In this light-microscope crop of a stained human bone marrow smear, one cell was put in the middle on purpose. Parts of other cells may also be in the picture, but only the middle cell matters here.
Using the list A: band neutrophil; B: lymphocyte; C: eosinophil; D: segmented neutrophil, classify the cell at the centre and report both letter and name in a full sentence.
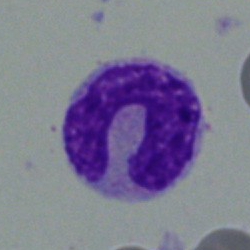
The middle cell of the crop is a band neutrophil; accordingly, option A is correct.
